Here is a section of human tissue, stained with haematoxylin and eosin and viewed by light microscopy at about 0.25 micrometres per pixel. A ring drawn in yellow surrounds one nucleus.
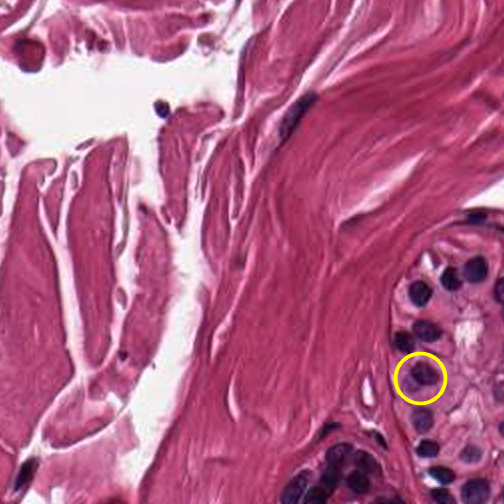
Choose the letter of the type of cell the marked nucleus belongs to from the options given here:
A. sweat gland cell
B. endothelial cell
A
